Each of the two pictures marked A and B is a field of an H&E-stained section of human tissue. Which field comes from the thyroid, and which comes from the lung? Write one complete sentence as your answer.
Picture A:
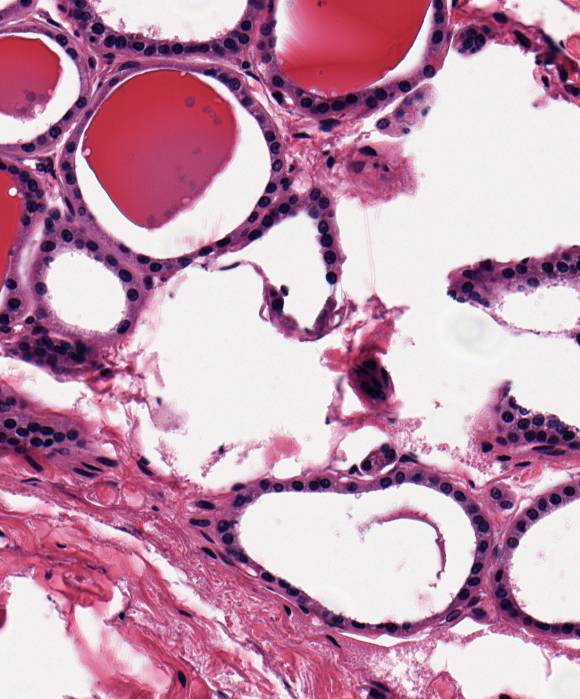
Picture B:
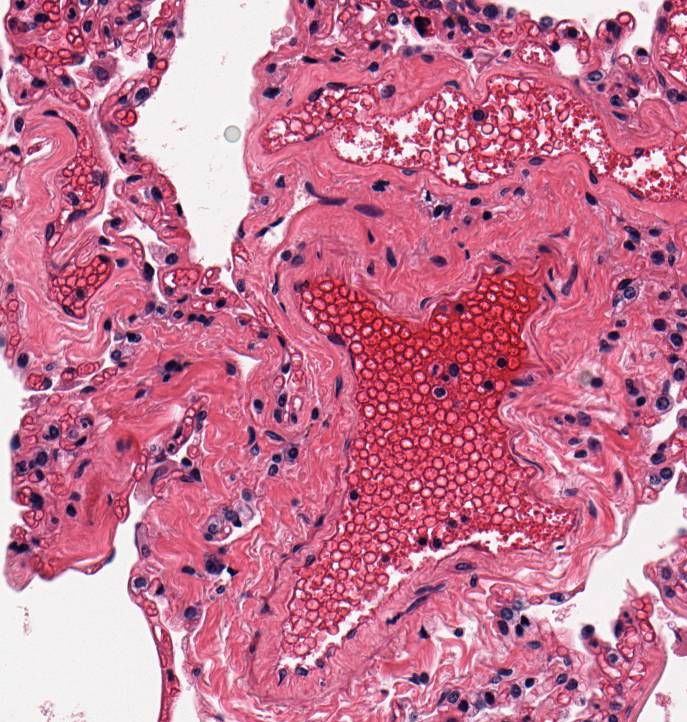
Picture A comes from the thyroid; picture B comes from the lung.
